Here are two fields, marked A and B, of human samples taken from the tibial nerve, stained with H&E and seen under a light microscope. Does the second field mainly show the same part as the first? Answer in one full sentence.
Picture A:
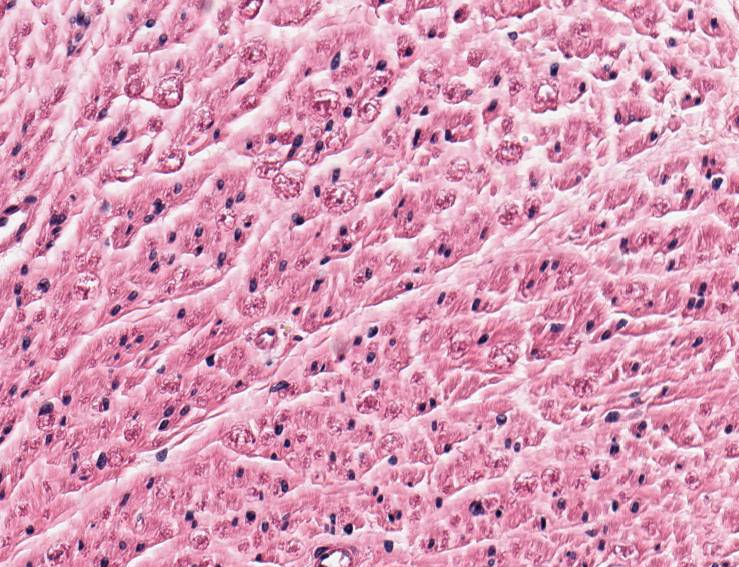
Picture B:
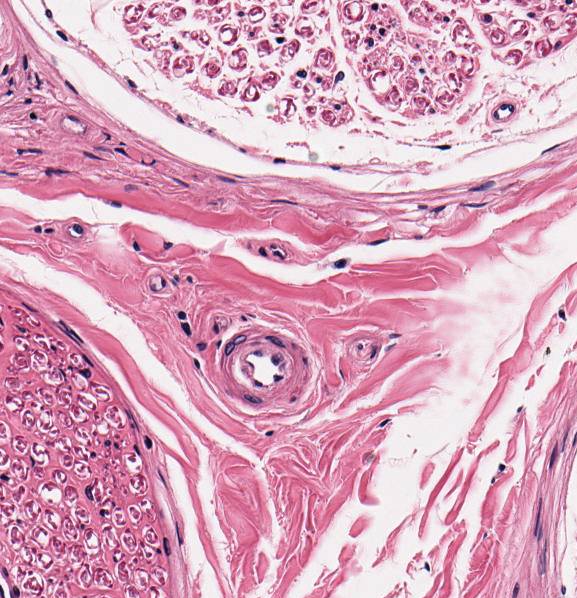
No, they differ: picture A mainly shows nerve fascicles, and picture B mainly shows the epineurium.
